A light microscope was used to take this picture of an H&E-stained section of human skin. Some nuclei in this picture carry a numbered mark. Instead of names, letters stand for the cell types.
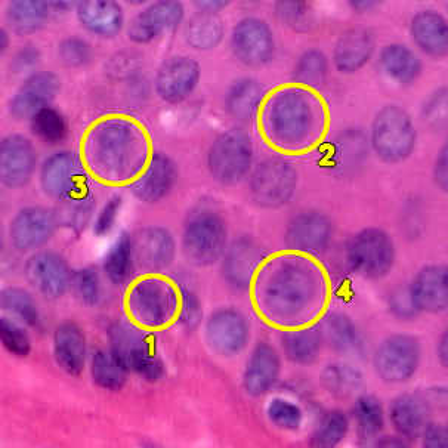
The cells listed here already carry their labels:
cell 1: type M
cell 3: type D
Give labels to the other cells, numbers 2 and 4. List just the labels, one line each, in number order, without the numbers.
type D
type D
